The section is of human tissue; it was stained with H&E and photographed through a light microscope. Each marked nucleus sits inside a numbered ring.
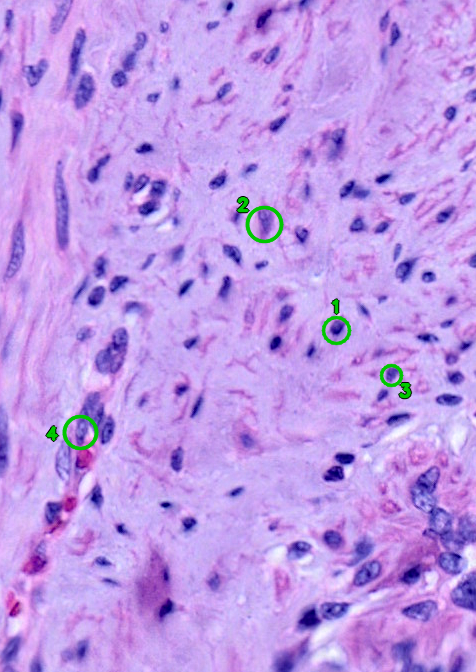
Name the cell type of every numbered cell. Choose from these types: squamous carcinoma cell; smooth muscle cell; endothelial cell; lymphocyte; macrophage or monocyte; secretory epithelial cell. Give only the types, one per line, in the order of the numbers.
smooth muscle cell
smooth muscle cell
smooth muscle cell
endothelial cell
